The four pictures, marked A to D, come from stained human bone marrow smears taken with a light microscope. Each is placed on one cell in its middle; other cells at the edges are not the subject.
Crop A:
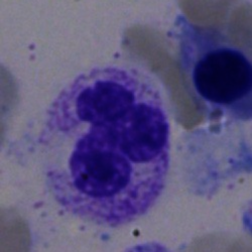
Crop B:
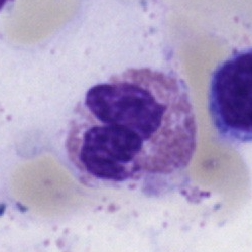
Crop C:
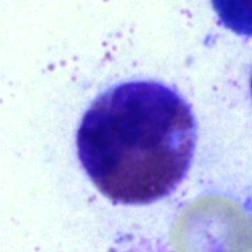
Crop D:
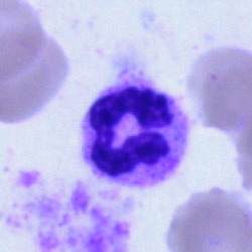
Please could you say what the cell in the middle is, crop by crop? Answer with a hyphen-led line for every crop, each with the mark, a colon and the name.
- A: neutrophil
- B: eosinophil
- C: eosinophil
- D: neutrophil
